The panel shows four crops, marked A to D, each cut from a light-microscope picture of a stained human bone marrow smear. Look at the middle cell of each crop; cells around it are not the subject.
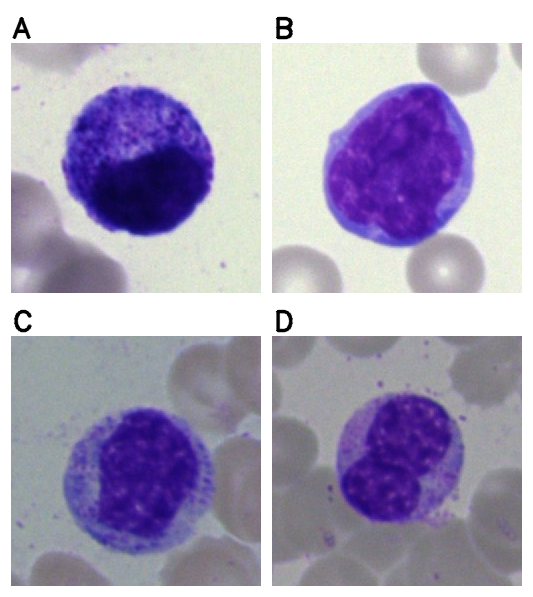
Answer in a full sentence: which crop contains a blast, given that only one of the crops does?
The crop with a blast at its center is crop B.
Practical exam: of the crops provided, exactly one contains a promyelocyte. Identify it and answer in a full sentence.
Of the cells presented, the one in crop A is a promyelocyte.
